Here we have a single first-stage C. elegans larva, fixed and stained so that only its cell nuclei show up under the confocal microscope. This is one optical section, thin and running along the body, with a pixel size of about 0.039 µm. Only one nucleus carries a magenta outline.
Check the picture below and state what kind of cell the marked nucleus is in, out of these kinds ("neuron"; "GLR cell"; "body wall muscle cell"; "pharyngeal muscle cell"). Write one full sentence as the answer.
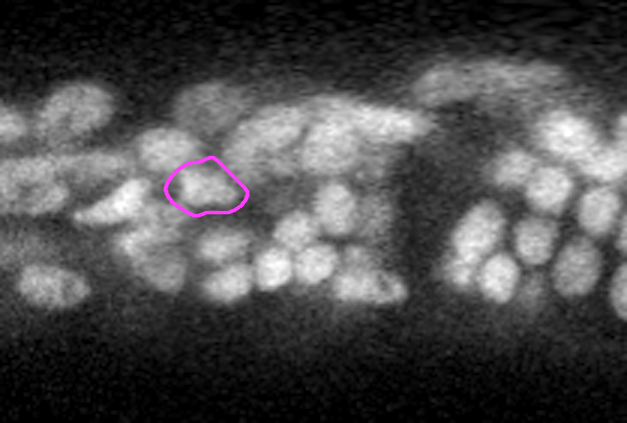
The marked cell is a pharyngeal muscle cell.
